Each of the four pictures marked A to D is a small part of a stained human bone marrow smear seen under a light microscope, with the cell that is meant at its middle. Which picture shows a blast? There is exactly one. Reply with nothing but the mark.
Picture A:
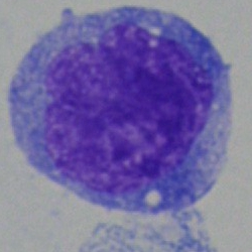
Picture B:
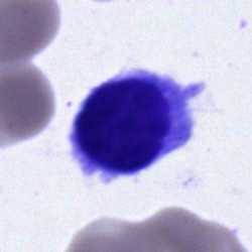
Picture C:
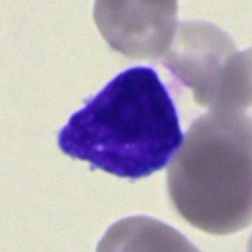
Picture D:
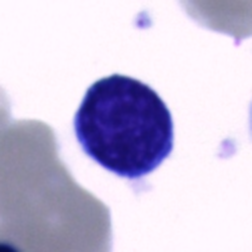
A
